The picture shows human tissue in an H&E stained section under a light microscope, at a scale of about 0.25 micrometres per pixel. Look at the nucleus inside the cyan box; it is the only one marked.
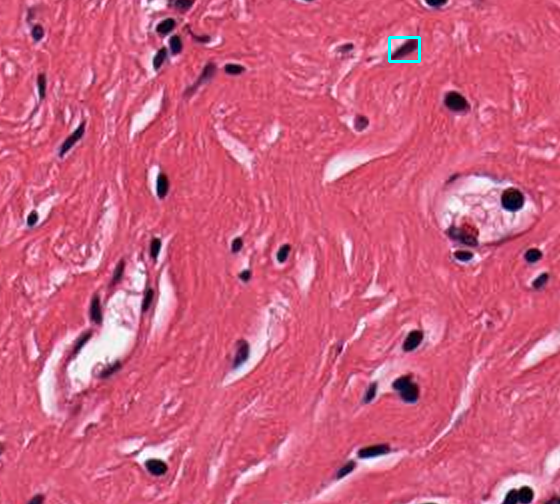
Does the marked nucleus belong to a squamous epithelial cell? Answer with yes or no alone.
no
